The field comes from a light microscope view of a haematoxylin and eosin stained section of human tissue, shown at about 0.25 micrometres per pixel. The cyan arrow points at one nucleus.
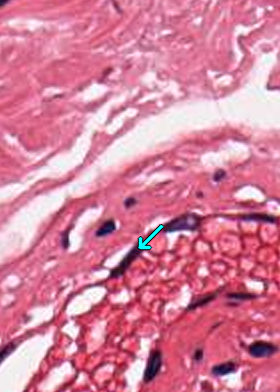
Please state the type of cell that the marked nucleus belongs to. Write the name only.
endothelial cell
